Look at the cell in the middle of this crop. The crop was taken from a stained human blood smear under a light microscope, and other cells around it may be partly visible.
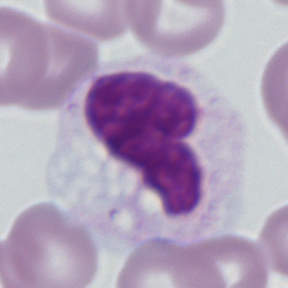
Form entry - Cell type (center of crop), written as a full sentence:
The central element of this crop is a cell, namely a segmented neutrophil.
